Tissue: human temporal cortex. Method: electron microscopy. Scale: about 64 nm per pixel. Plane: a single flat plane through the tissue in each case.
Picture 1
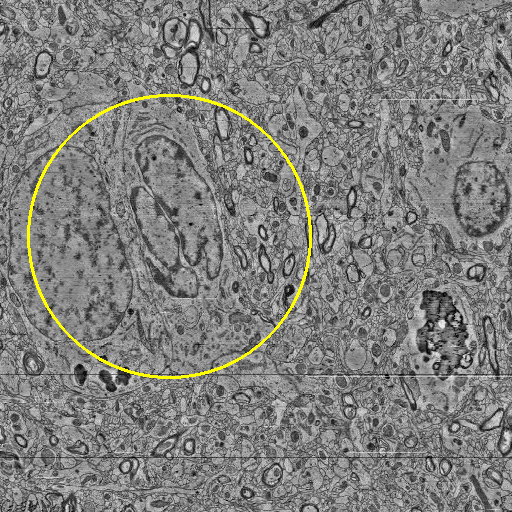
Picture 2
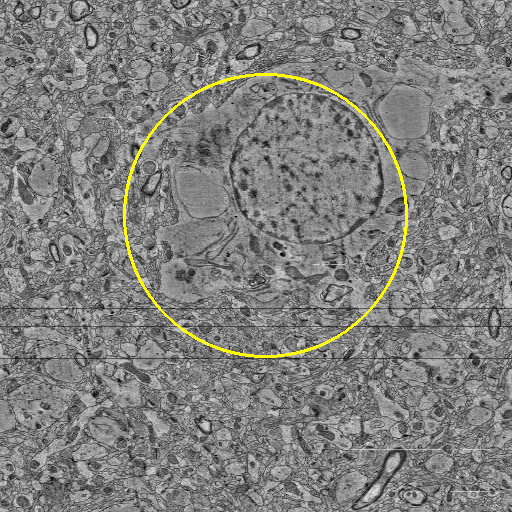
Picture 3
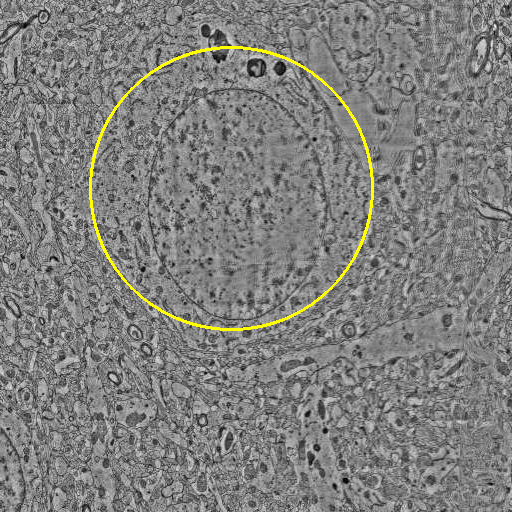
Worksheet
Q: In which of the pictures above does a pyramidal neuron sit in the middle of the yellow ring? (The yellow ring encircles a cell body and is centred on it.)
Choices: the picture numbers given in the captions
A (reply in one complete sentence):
In picture 3, the cell sitting at the centre of the ring is the match.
